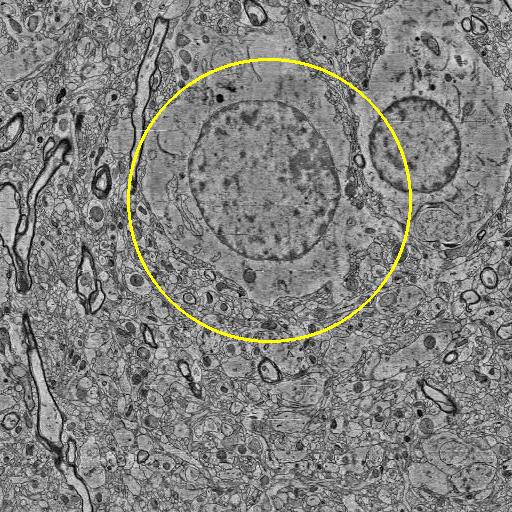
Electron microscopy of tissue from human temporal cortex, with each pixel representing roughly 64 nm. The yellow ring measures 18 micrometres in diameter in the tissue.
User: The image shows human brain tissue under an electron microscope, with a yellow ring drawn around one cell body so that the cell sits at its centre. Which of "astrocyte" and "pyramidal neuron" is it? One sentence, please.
At the centre of the ring sits an astrocyte.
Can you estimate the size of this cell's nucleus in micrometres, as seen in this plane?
In this plane the nucleus measures roughly 11 by 9 micrometres.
